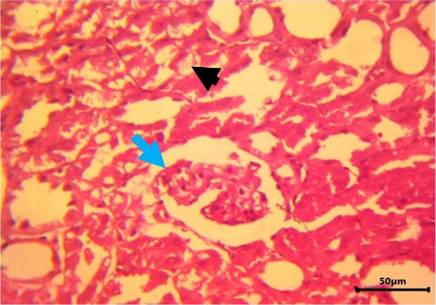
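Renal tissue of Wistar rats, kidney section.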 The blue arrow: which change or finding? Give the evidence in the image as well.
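A glomerular tuft smaller than its surrounding capsule. A clear crescent of space around the tuft. So: atrophied glomerular tufts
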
